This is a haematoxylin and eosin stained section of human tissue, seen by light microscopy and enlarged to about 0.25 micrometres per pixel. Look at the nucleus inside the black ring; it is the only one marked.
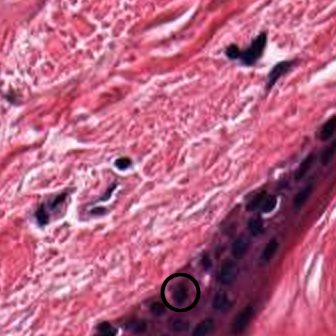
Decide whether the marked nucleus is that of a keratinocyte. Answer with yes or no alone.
yes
